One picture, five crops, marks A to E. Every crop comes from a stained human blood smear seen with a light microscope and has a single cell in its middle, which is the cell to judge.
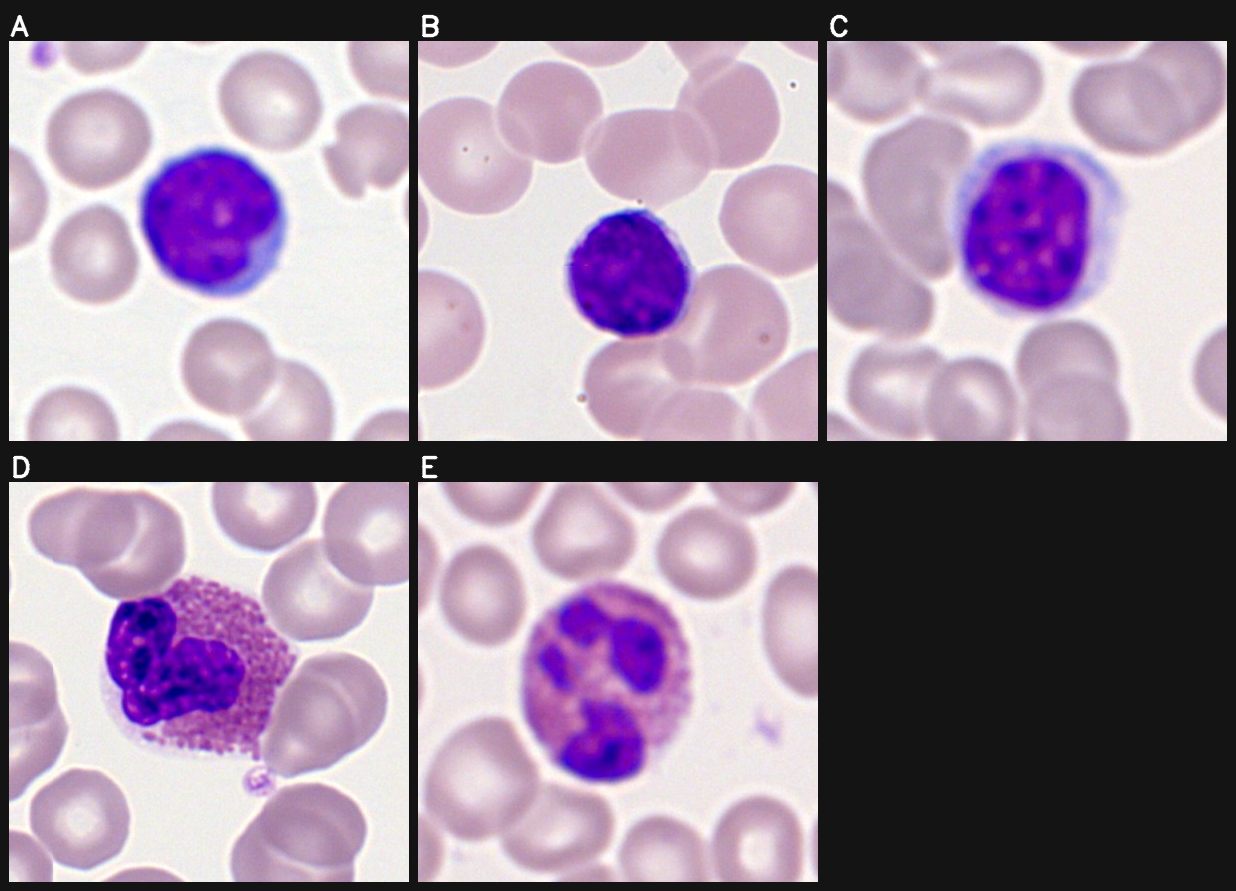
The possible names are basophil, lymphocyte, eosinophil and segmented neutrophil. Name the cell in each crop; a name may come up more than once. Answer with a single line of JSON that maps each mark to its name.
{"A": "lymphocyte", "B": "lymphocyte", "C": "lymphocyte", "D": "eosinophil", "E": "eosinophil"}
